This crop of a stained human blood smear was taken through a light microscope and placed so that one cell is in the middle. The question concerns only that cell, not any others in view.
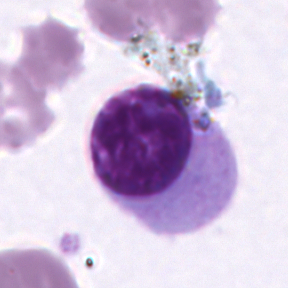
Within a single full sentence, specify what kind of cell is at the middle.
Regarding the central cell, it is a plasma cell.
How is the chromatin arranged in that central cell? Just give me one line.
The nucleus shows chromatin that is coarsely clumped.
